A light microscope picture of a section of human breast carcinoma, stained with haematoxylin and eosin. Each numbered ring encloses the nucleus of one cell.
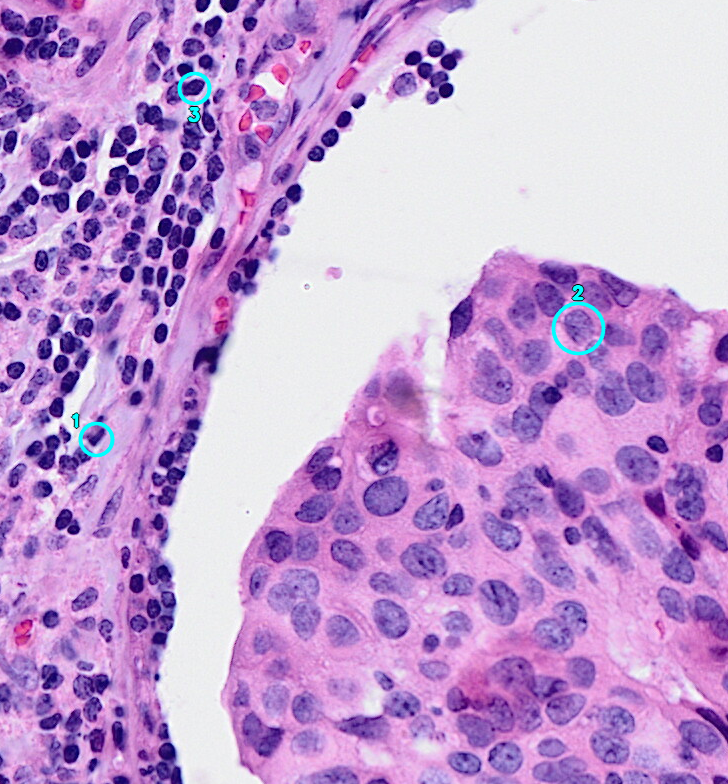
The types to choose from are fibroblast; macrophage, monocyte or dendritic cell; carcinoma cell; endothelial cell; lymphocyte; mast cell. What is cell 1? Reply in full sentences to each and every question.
Identified as a lymphocyte is the cell bearing the number 1.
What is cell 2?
The cell that goes by number 2 is a carcinoma cell.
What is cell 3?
Nucleus 3 in this section belongs to a lymphocyte.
